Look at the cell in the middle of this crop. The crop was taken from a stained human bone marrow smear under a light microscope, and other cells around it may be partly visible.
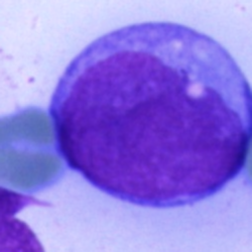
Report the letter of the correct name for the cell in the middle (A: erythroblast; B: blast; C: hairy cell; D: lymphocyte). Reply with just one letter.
B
